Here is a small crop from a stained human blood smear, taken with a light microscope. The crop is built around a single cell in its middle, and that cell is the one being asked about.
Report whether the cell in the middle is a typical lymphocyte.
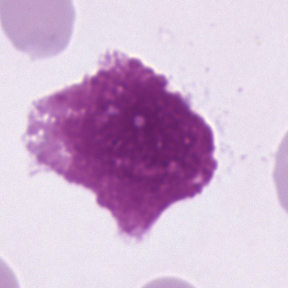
no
